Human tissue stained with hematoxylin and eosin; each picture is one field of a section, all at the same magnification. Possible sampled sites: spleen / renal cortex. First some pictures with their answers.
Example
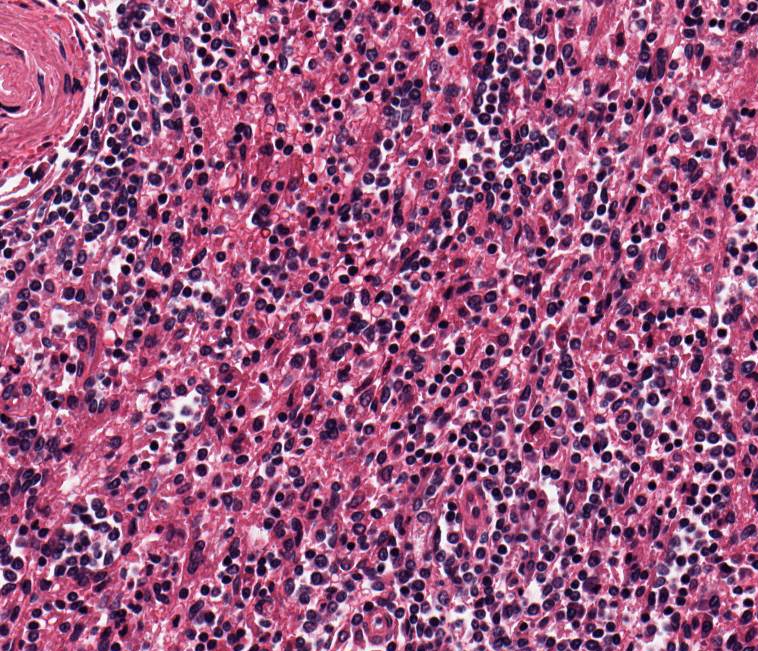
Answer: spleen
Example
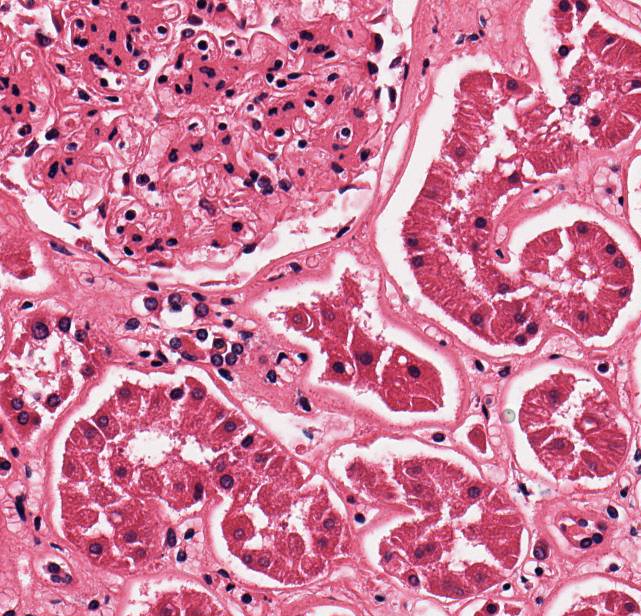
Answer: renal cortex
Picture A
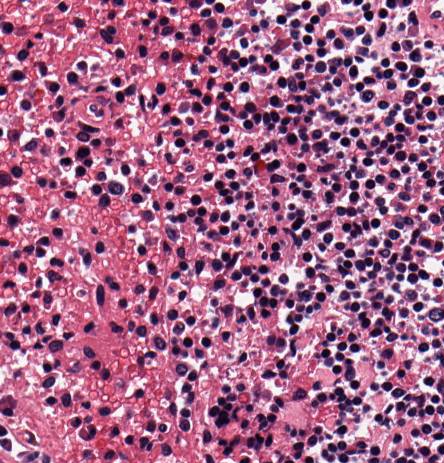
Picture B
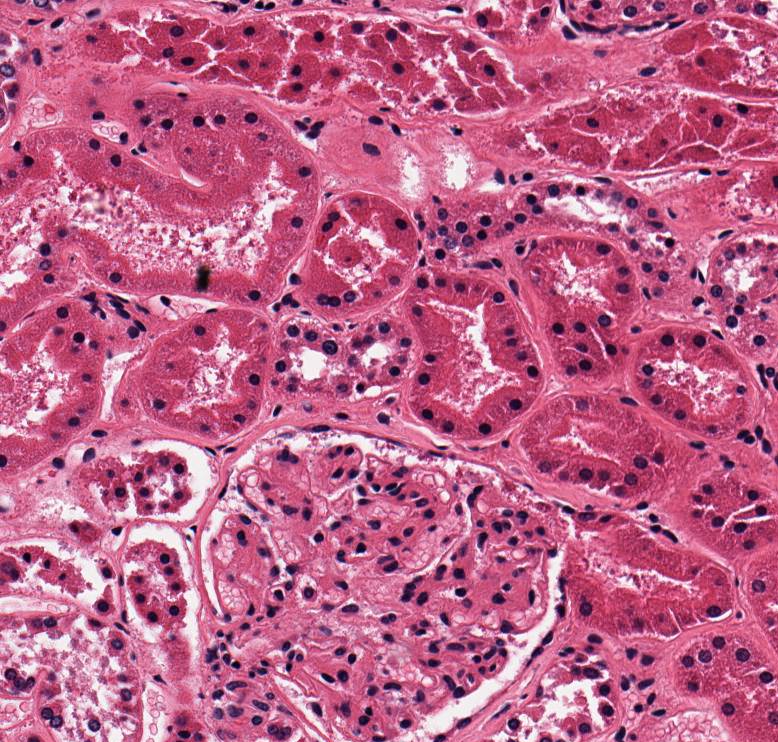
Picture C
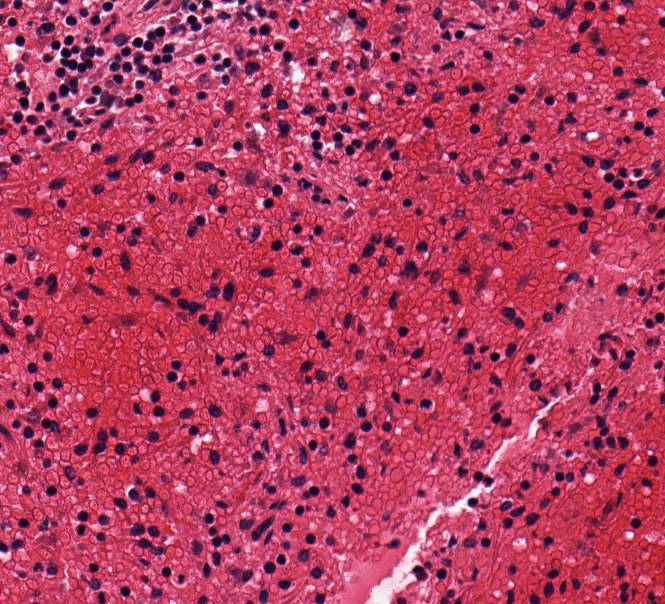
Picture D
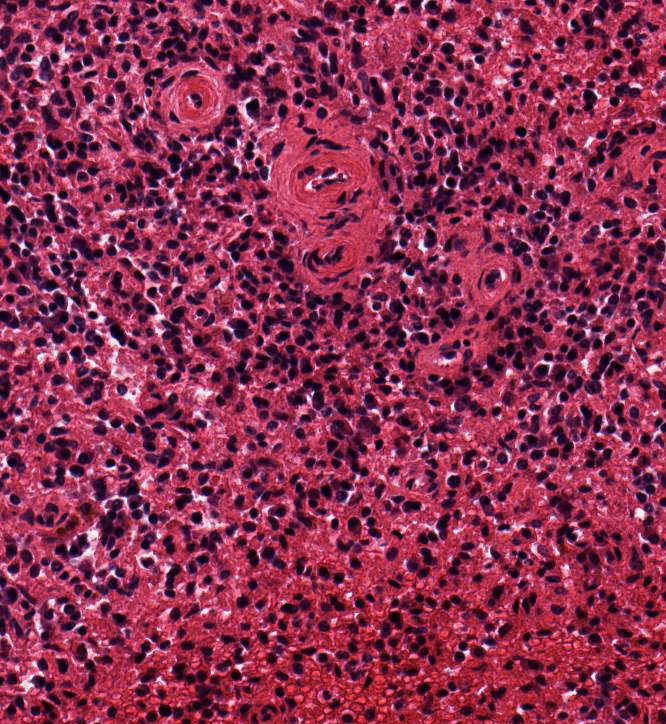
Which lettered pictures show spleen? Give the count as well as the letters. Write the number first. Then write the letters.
Count: 3 (A, C, D)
